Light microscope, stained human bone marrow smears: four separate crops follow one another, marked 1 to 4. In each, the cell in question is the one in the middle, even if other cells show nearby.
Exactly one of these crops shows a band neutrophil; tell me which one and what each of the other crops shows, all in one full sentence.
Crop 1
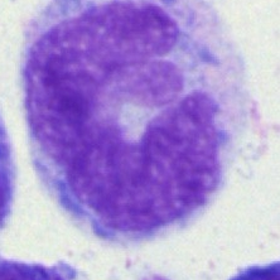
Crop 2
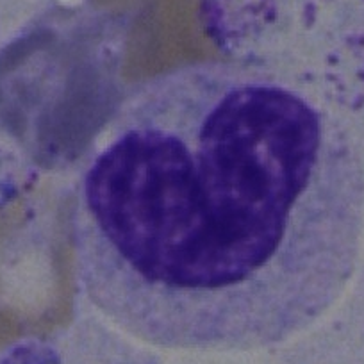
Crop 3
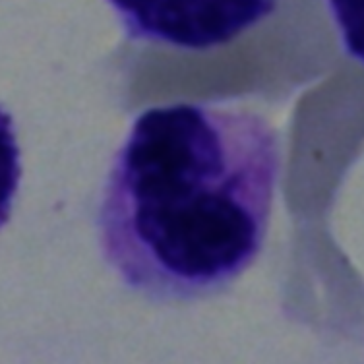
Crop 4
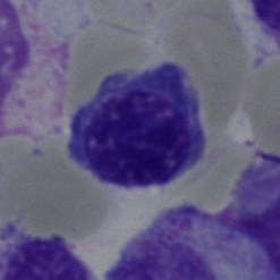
Among these crops, crop 2 shows a band neutrophil, while crop 1 is a monocyte, crop 3 is a segmented neutrophil and crop 4 is an erythroblast.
